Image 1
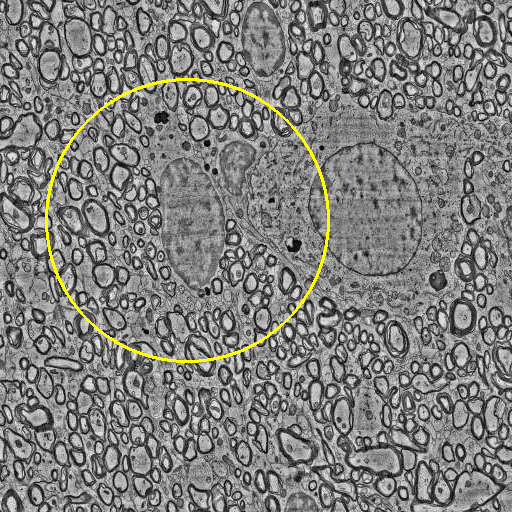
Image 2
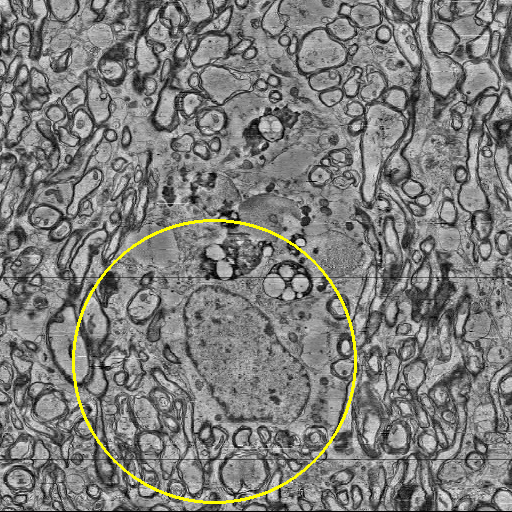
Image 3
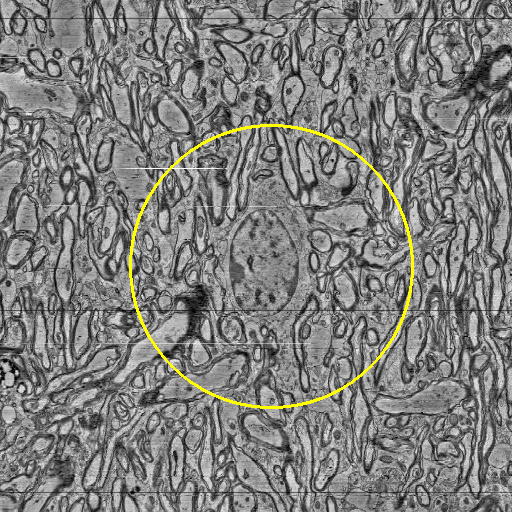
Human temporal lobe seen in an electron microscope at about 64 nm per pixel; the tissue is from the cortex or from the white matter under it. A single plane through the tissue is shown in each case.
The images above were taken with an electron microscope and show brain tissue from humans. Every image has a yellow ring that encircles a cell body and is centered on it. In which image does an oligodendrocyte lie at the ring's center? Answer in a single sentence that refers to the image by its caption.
In Image 1, the cell at the center of the yellow ring is the correct match.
